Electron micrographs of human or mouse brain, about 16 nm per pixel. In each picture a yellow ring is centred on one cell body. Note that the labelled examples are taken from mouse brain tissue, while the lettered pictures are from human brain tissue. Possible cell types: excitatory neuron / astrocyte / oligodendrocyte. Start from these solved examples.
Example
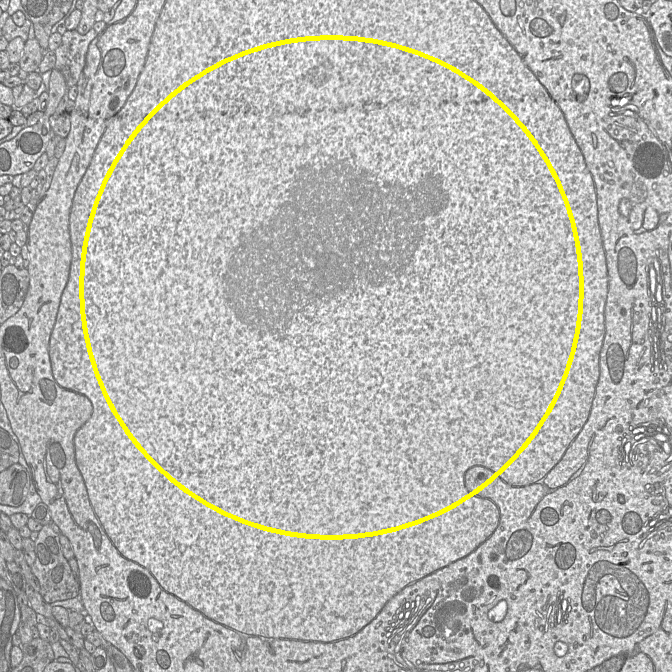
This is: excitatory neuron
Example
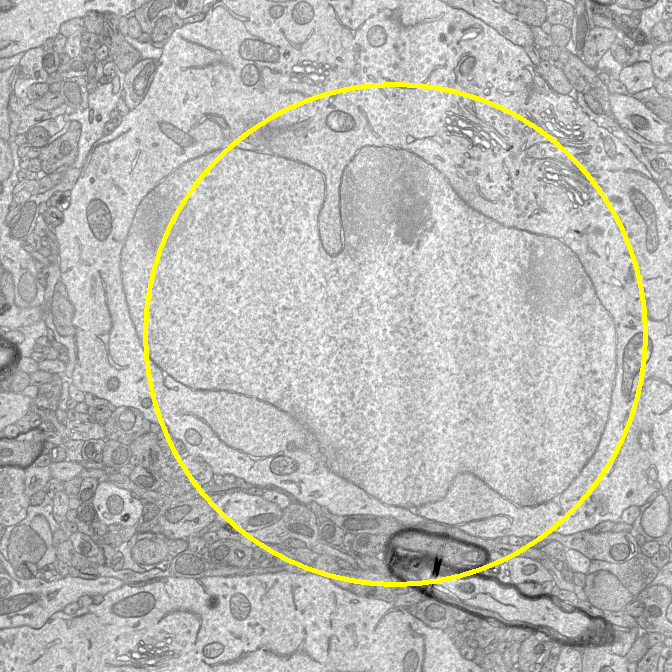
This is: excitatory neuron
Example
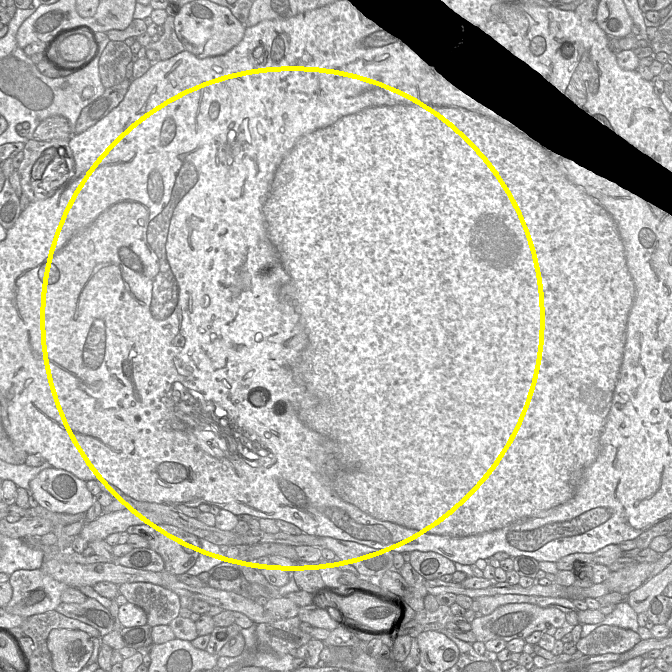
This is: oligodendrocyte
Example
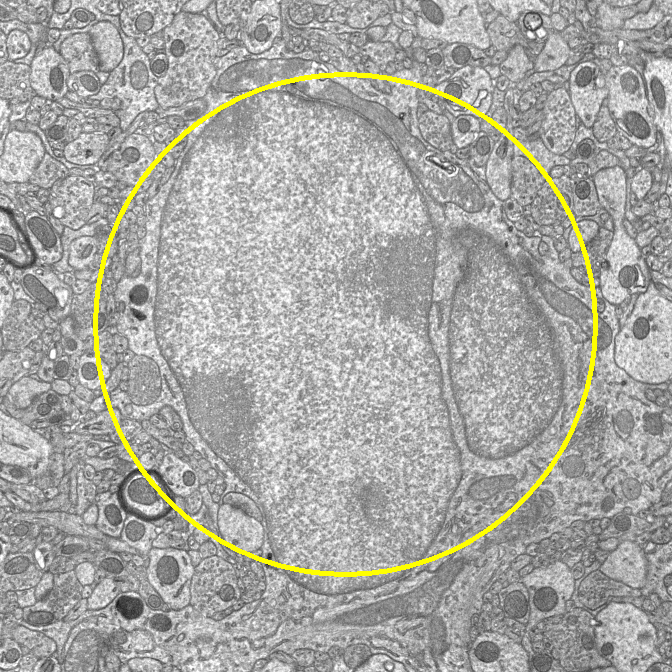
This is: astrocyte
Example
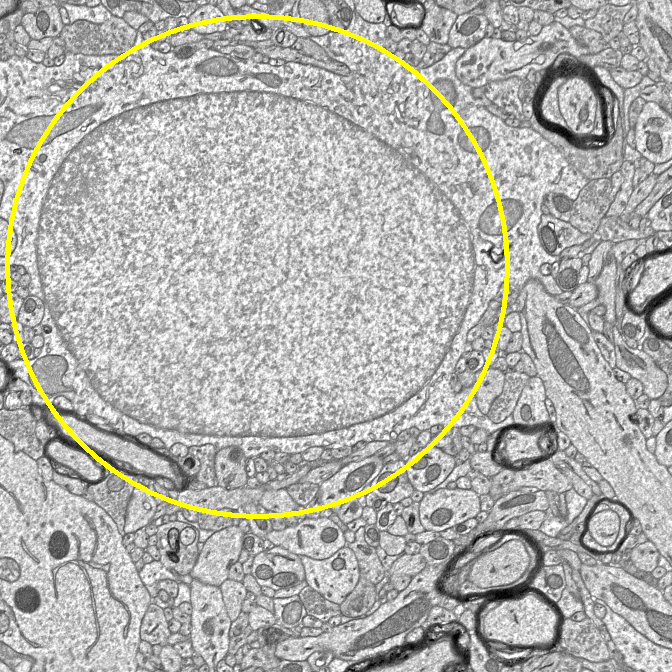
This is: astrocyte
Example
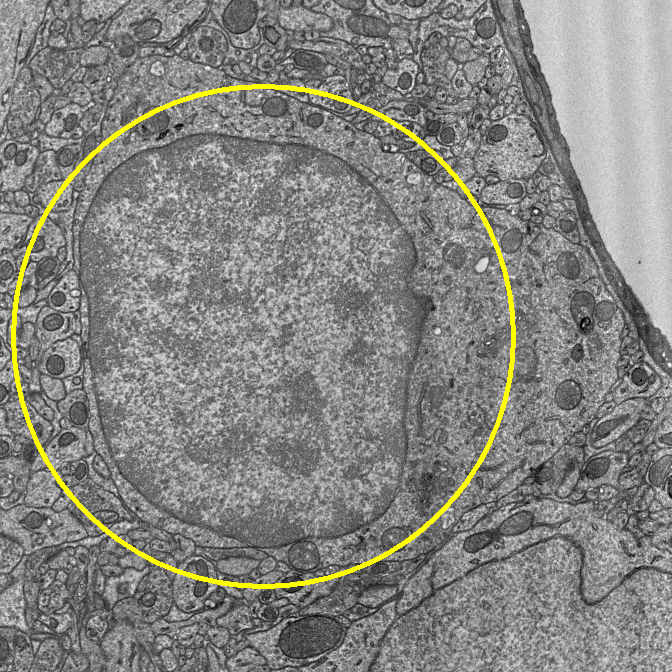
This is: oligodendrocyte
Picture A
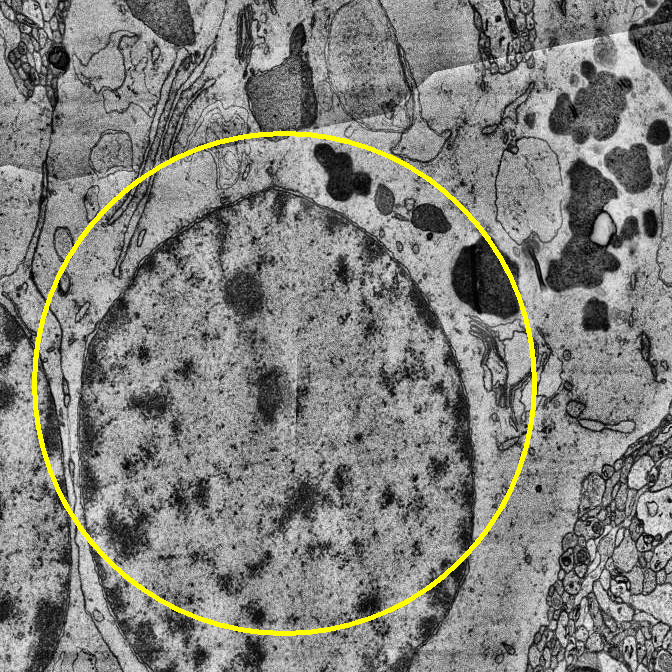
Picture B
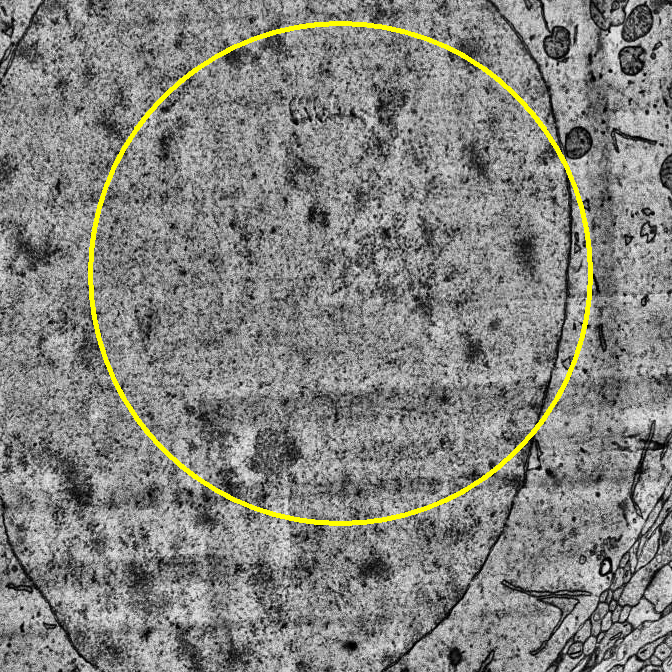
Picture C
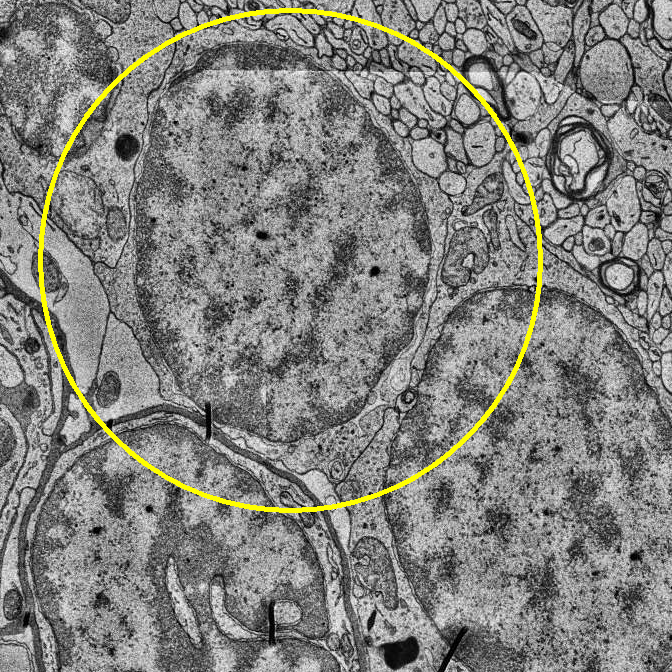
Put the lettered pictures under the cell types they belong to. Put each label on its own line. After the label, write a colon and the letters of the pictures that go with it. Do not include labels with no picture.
excitatory neuron: B
astrocyte: A
oligodendrocyte: C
